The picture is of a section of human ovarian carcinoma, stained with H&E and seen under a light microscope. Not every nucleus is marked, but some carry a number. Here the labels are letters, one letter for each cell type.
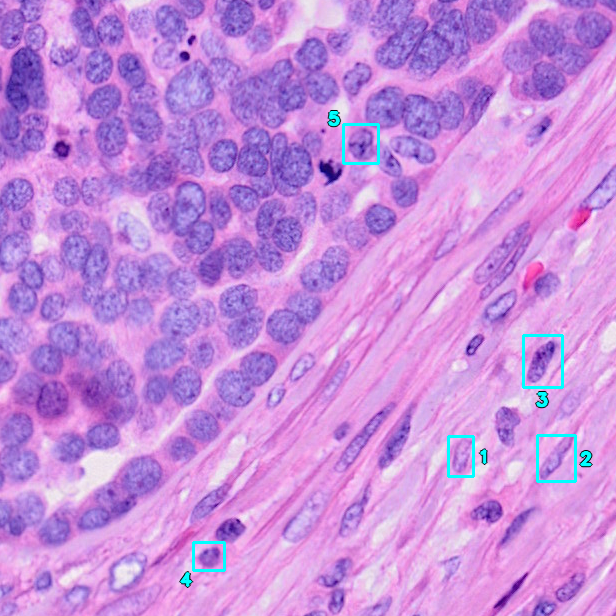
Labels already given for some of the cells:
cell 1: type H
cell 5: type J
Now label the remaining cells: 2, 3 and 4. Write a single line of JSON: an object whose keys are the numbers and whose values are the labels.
{"2": "type H", "3": "type J", "4": "type J"}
